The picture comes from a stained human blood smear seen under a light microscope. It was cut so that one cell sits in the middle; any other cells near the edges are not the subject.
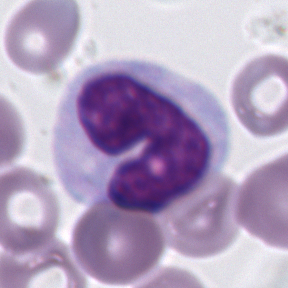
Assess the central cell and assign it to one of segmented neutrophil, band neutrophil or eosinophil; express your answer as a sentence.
Framed in the middle of the crop is a band neutrophil.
